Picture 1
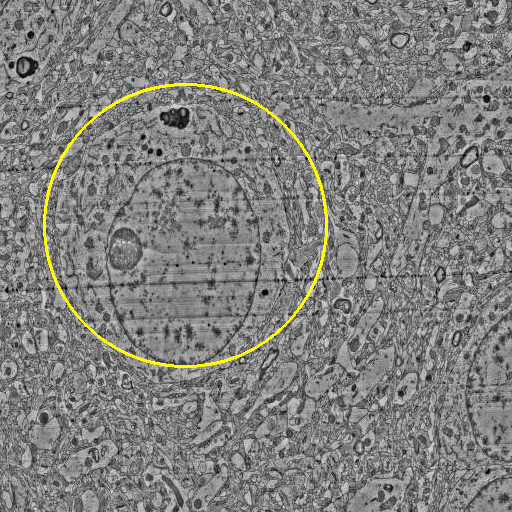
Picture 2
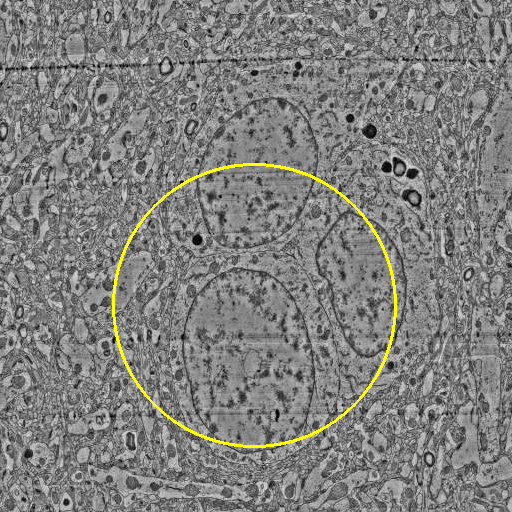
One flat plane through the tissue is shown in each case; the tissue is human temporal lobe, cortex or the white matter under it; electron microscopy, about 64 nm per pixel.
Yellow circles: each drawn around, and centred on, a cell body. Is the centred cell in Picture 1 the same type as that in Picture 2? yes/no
yes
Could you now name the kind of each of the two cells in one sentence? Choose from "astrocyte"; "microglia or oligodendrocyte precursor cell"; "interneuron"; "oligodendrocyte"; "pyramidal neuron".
In the first picture and in the second, the ring is centred on a pyramidal neuron.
